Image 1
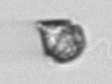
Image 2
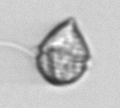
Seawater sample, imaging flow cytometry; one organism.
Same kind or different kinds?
Same: Scrippsiella.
